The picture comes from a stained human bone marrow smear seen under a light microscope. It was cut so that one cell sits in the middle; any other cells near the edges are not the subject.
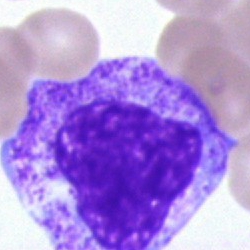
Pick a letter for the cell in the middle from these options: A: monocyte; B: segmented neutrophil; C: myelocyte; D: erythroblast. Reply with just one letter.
C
